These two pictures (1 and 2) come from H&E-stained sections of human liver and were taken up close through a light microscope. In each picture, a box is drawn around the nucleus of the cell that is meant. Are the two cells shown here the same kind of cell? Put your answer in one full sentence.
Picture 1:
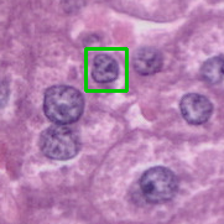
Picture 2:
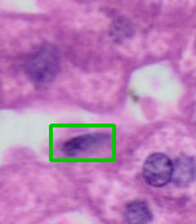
No; the cell in picture 1 is a hepatocyte, while the one in picture 2 is a Kupffer cell.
